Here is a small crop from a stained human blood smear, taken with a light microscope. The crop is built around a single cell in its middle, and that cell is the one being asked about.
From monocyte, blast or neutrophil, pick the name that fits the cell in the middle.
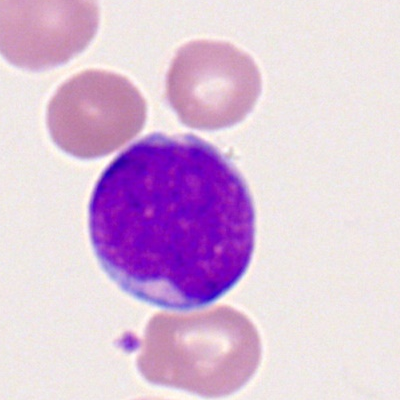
blast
